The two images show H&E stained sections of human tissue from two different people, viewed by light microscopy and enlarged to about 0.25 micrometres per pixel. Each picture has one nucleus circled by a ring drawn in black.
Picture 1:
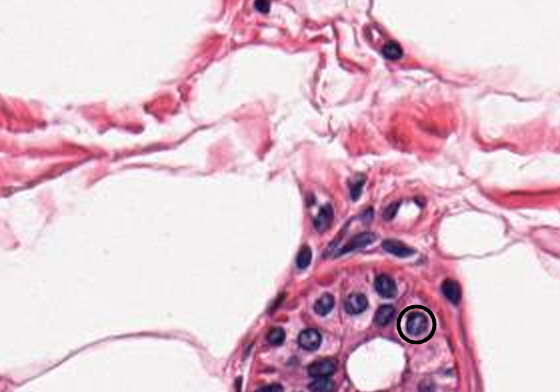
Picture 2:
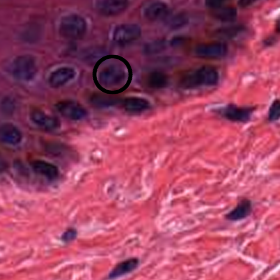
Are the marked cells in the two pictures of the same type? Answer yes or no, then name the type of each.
No, the first is a sweat gland cell and the second a keratinocyte.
